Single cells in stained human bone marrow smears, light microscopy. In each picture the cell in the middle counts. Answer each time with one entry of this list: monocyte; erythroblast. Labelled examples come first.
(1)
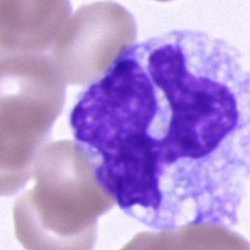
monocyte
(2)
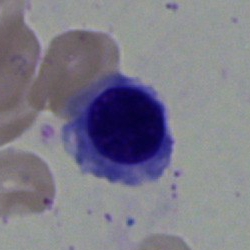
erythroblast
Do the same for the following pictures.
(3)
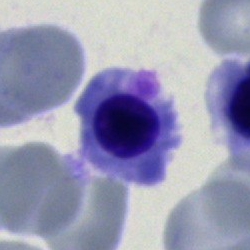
erythroblast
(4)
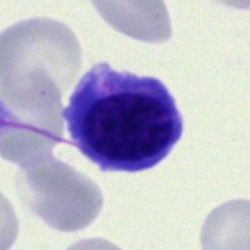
erythroblast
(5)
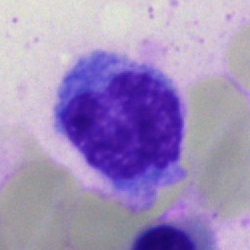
monocyte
